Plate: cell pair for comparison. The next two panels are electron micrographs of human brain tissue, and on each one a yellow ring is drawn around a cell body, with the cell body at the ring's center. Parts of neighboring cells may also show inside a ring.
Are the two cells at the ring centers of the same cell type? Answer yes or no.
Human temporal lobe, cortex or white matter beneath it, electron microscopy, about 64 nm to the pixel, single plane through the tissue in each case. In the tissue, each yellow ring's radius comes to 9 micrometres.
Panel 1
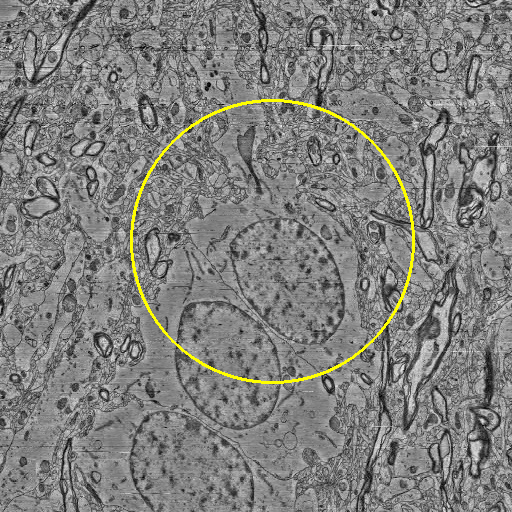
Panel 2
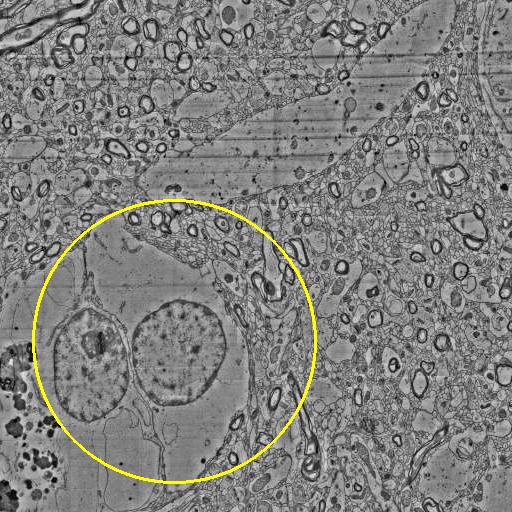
yes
